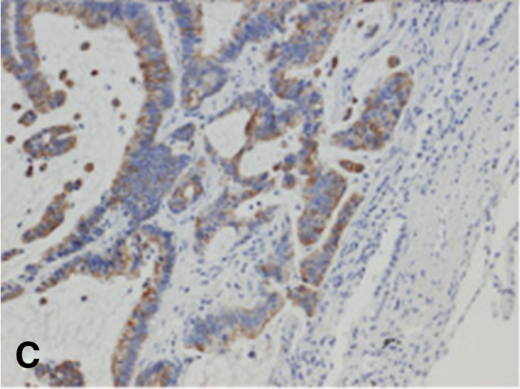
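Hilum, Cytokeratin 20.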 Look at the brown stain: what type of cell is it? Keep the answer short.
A: Tumor cells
